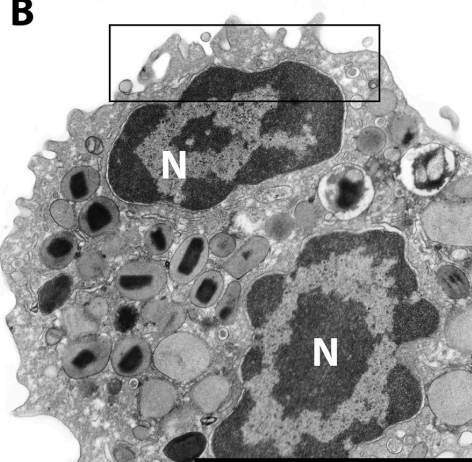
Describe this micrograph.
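The cytoplasm is crowded with oval membrane-bound granules, many of which contain an electron-dense crystalline core within a paler matrix, alongside paler round granules and small vesicles. The cell surface is irregular, with numerous short projections, and small round vesicles lie at and just outside the surface in the boxed region above the upper nuclear lobe.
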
